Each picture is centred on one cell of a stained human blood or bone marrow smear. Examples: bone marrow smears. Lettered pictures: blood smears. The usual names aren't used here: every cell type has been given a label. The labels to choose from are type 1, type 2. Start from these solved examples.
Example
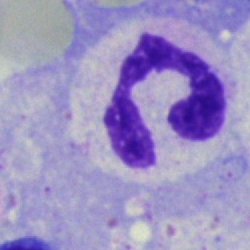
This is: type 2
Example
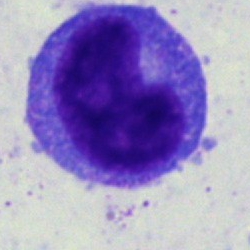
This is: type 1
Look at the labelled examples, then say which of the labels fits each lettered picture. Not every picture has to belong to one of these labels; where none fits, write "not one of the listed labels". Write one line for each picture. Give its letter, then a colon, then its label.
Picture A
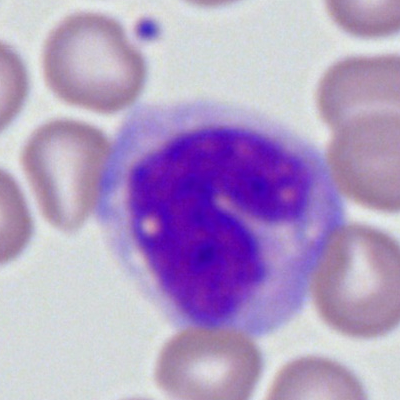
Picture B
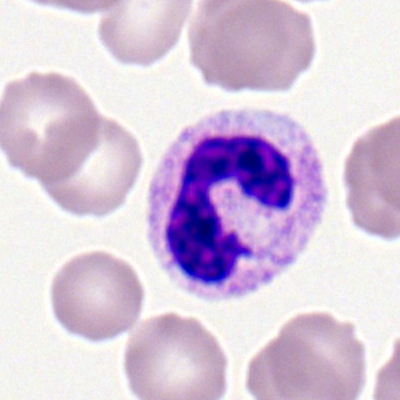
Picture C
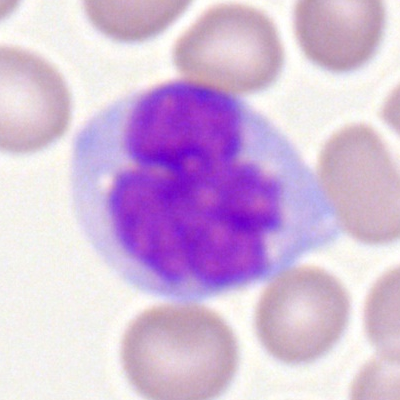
A: type 1
B: type 2
C: type 1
